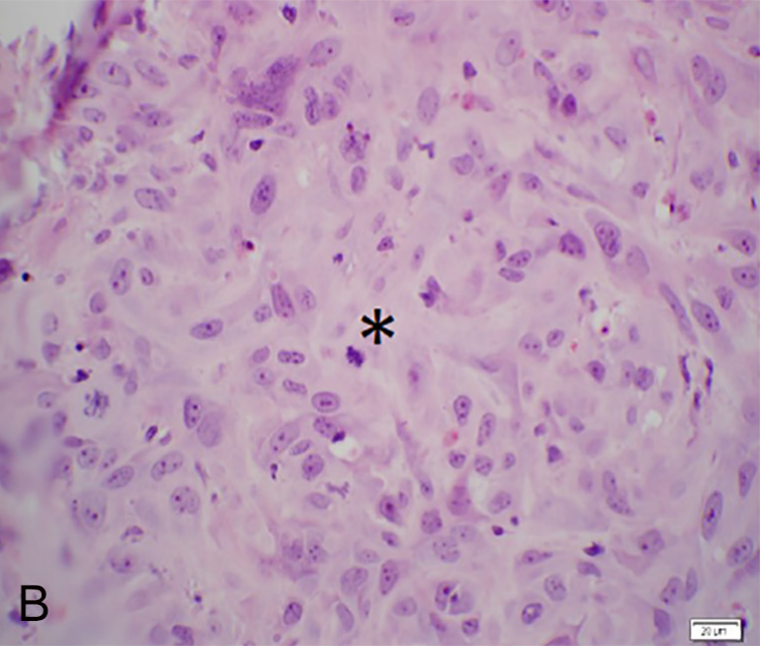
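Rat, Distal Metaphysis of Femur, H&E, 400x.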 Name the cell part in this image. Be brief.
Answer: Multiple, distinct nucleoli.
